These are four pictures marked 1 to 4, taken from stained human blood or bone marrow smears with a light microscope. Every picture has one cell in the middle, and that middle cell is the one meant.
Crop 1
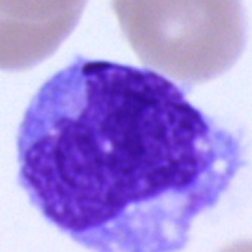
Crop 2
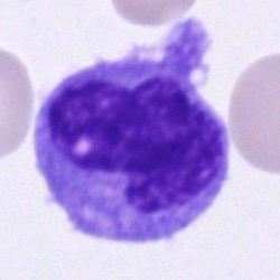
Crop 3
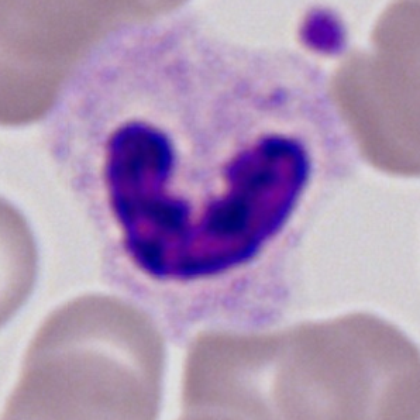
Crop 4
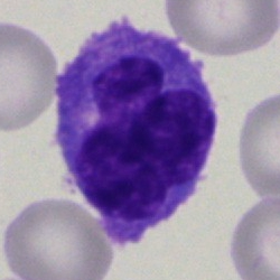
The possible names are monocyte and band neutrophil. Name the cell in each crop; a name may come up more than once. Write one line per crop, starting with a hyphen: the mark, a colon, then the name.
- 1: monocyte
- 2: monocyte
- 3: band neutrophil
- 4: monocyte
